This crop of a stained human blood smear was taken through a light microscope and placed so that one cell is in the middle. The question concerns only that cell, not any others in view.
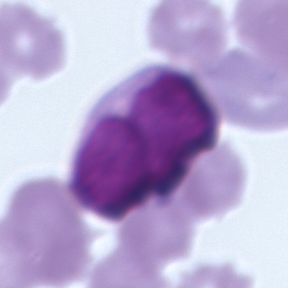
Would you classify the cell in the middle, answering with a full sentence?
The centrally positioned cell in the crop represents a myeloblast.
